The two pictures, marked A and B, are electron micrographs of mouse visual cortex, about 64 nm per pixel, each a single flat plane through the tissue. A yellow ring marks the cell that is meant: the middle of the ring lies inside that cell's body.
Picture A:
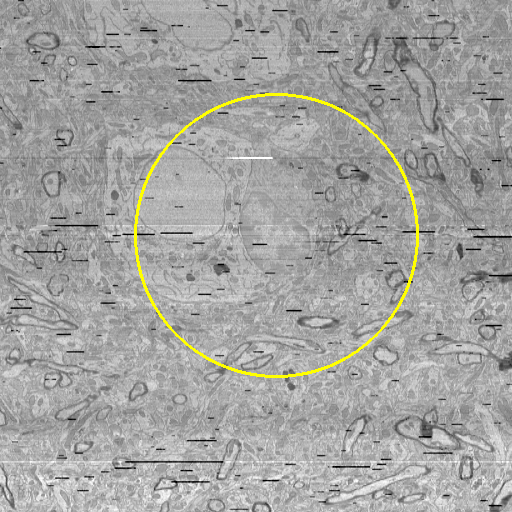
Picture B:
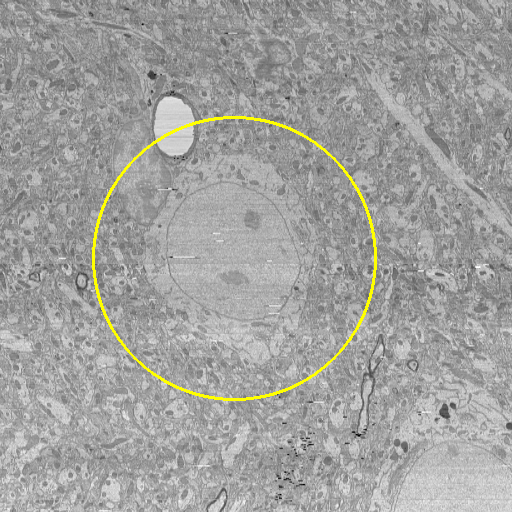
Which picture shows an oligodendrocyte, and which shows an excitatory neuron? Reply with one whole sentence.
Picture A shows an oligodendrocyte and picture B shows an excitatory neuron.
